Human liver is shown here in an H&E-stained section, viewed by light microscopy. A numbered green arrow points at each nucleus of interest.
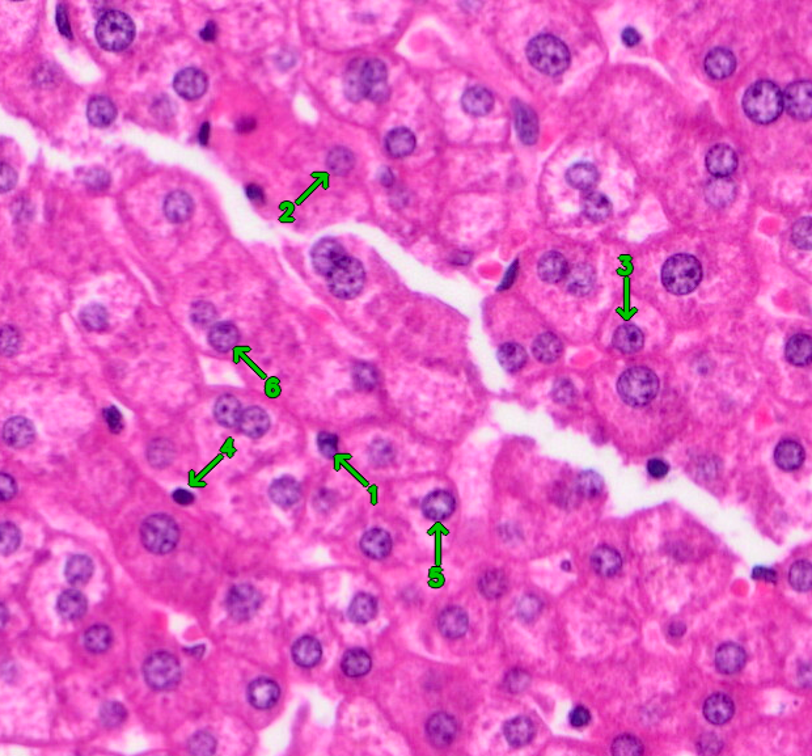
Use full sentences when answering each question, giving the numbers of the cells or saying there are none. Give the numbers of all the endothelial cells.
Cell number 1 alone is an endothelial cell; the rest are not.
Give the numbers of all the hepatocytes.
The cells given the numbers 2, 3, 5 and 6 are hepatocytes.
